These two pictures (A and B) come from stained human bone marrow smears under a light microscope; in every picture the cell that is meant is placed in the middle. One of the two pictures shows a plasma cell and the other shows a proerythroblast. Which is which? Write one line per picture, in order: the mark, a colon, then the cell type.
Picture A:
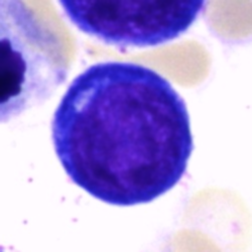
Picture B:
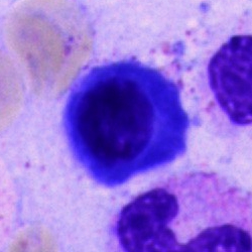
A: proerythroblast
B: plasma cell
